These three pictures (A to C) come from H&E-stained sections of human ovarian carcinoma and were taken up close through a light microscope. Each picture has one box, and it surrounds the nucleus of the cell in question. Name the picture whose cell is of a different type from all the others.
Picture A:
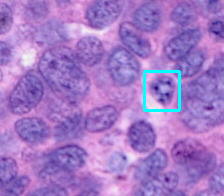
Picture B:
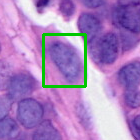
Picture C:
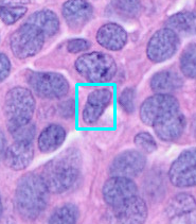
A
